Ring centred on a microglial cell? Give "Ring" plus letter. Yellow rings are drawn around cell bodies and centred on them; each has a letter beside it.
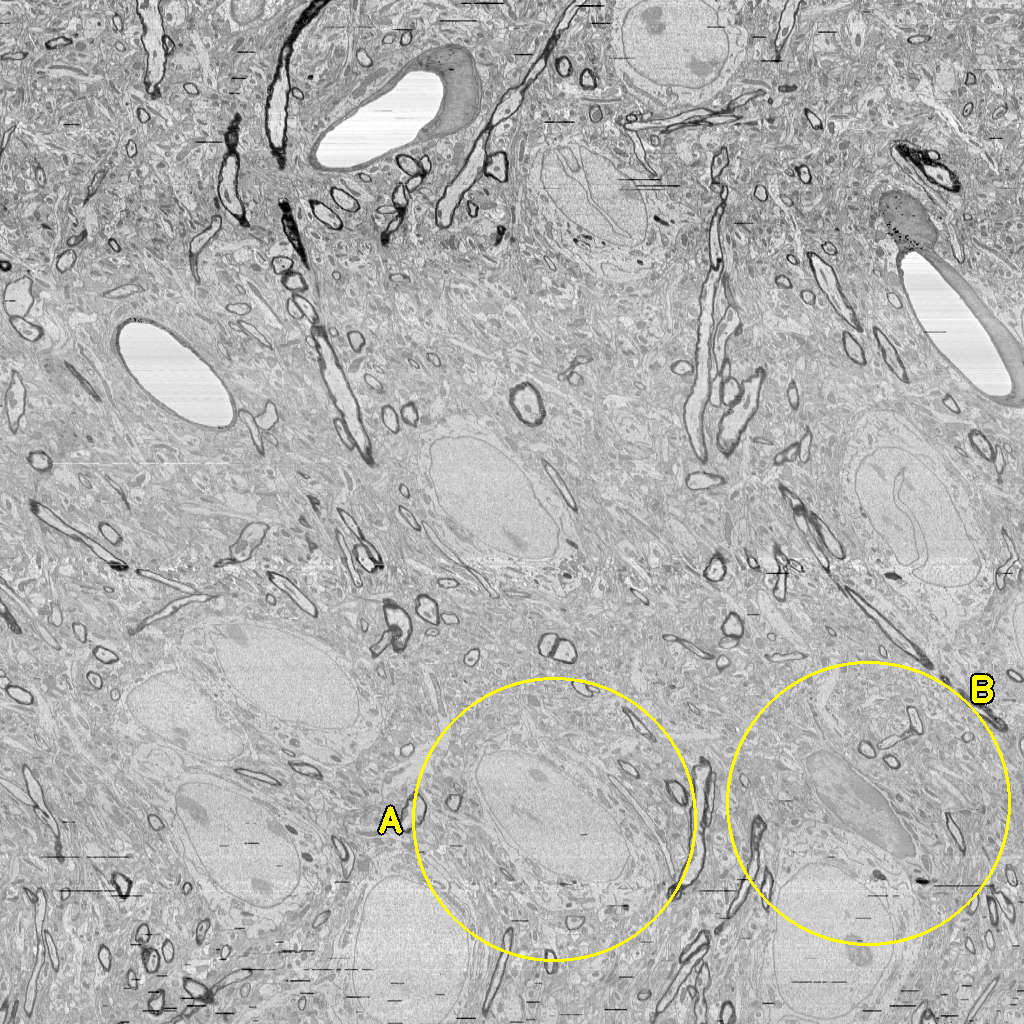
Ring B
